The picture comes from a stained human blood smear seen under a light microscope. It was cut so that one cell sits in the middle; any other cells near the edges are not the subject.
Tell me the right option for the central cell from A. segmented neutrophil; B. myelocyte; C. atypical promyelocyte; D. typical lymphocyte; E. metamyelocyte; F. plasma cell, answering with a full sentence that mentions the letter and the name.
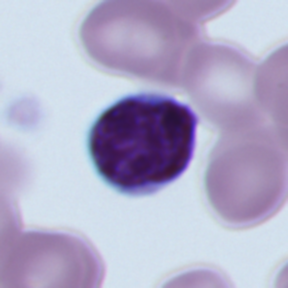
The central cell of the crop is a typical lymphocyte, which makes D the correct option.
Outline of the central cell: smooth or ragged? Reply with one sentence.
No surface projections are present; the cell outline is smooth.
